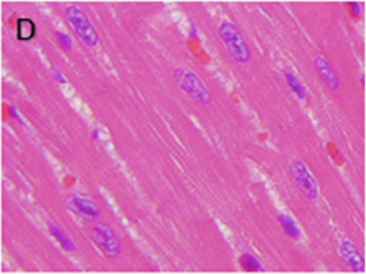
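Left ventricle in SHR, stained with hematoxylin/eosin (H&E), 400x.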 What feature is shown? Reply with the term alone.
cardiac fiber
